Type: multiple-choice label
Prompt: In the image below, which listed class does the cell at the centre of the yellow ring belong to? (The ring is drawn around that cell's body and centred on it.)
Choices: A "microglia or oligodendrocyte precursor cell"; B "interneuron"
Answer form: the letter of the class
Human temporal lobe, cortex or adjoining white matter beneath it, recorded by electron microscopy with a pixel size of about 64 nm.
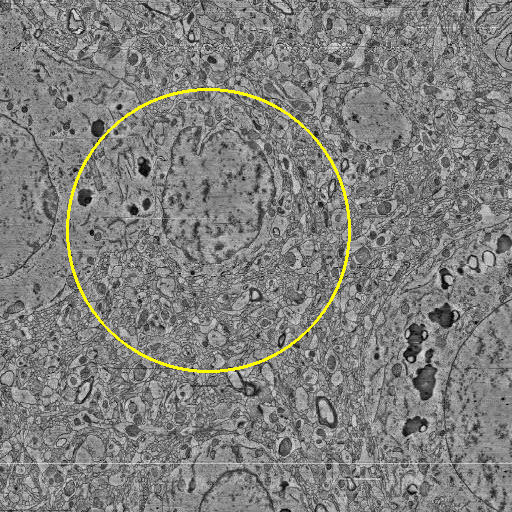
B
